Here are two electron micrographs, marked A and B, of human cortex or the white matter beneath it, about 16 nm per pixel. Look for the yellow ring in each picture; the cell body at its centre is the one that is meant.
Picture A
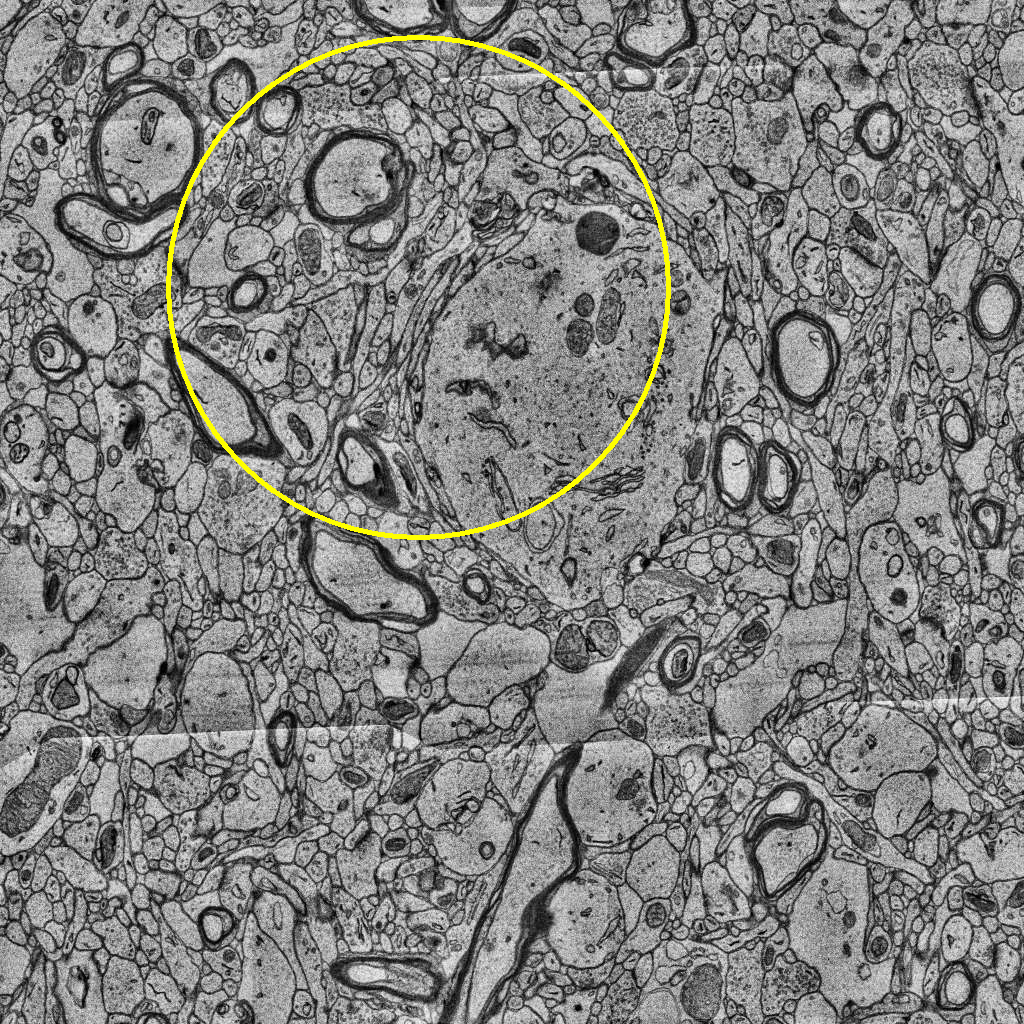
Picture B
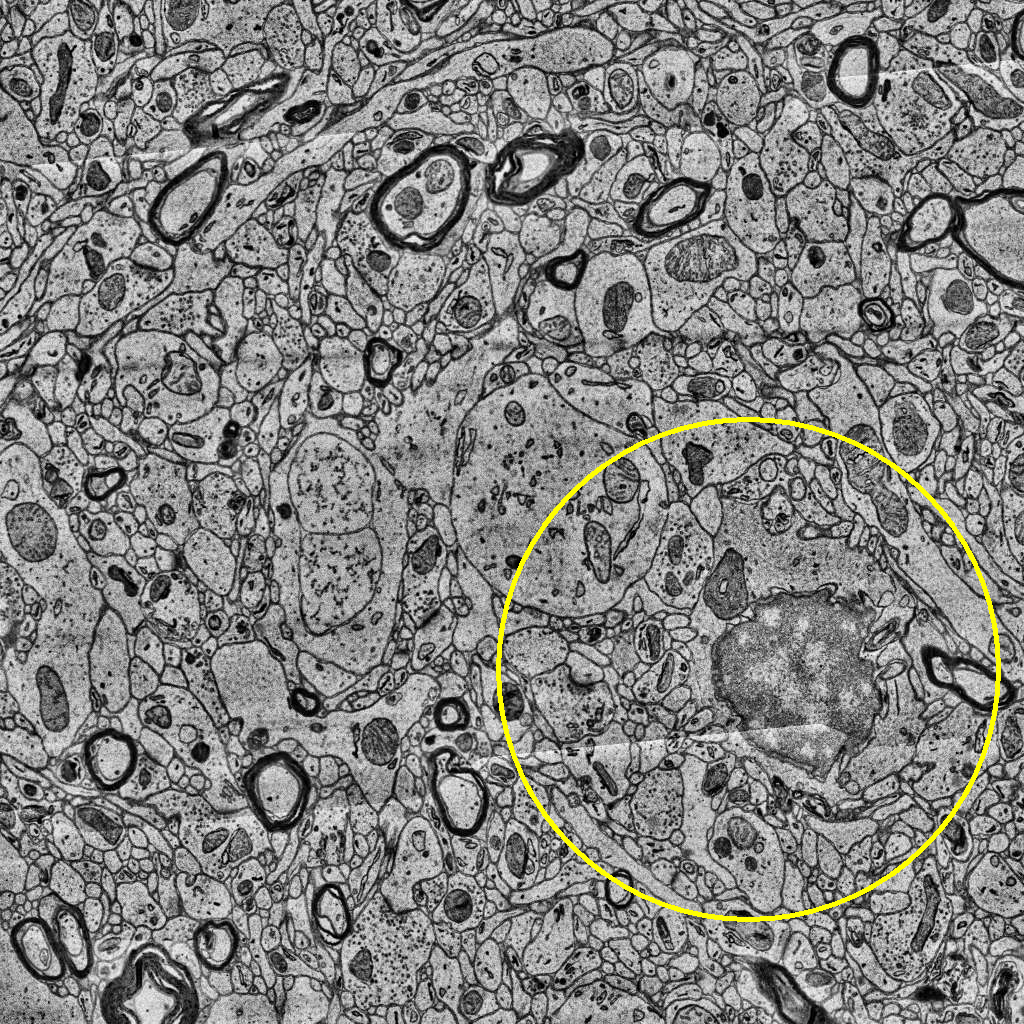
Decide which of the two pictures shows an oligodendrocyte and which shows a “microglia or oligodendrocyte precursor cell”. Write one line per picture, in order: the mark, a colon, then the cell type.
A: microglia or oligodendrocyte precursor cell
B: oligodendrocyte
